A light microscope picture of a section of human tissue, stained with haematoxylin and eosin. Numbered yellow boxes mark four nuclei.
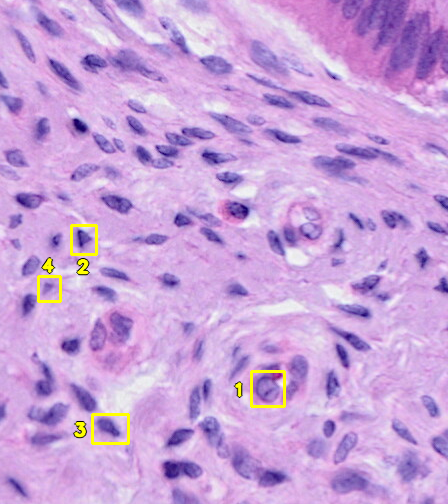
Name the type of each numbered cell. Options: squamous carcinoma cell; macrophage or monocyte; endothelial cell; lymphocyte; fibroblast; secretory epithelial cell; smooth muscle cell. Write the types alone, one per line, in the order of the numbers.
endothelial cell
fibroblast
fibroblast
fibroblast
